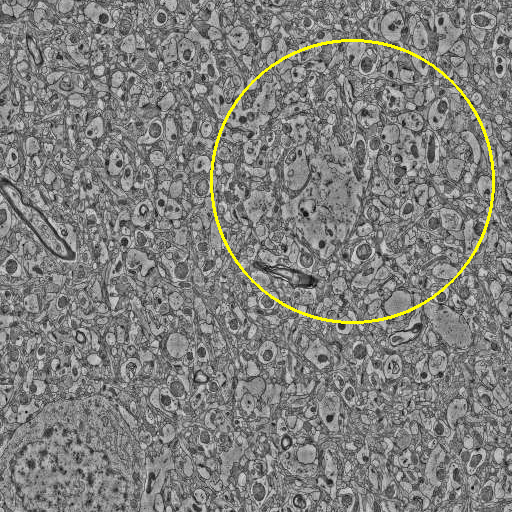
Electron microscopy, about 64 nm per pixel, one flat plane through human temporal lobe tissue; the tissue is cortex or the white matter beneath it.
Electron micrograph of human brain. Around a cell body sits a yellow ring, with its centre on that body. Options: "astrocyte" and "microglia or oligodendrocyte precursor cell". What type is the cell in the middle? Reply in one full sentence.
The cell sitting at the centre of the yellow ring is an astrocyte.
